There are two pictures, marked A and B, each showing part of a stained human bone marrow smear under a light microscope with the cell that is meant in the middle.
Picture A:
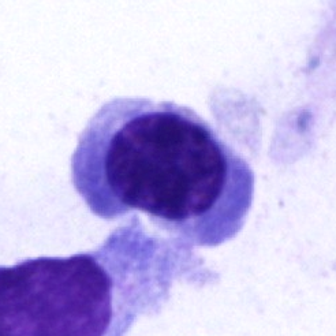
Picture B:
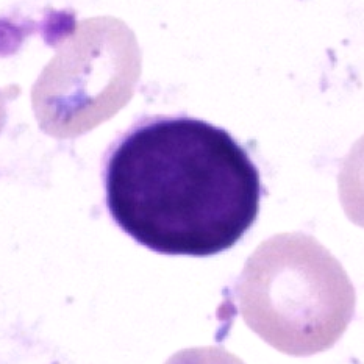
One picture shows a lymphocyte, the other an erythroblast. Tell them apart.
A: erythroblast
B: lymphocyte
